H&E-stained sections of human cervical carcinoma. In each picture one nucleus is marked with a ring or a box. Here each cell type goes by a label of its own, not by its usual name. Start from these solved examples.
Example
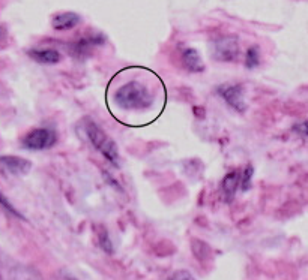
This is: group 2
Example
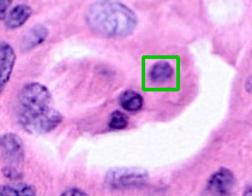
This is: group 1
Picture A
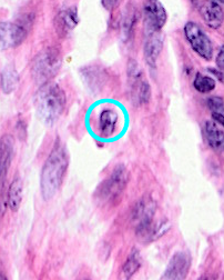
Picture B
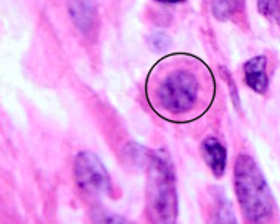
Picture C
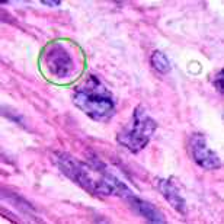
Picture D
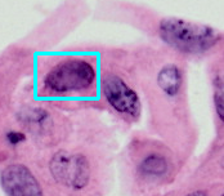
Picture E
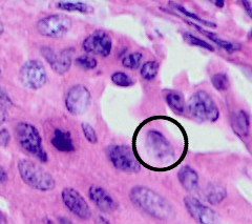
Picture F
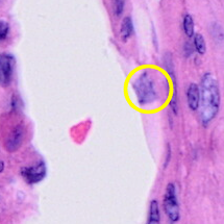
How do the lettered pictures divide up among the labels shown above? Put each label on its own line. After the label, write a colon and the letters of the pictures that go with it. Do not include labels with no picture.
group 2: A, B, C
group 1: D, E, F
